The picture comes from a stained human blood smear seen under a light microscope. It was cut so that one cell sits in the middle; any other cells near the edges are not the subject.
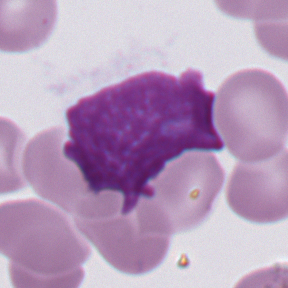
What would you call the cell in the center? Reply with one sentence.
Located at the centre of the crop is a smudge cell.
